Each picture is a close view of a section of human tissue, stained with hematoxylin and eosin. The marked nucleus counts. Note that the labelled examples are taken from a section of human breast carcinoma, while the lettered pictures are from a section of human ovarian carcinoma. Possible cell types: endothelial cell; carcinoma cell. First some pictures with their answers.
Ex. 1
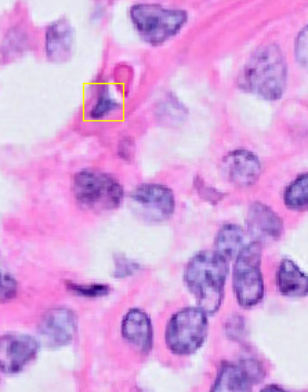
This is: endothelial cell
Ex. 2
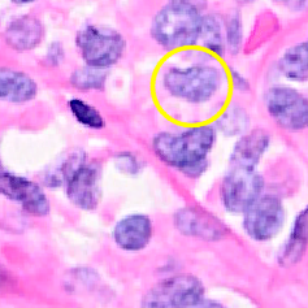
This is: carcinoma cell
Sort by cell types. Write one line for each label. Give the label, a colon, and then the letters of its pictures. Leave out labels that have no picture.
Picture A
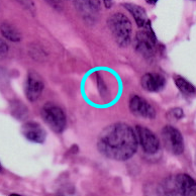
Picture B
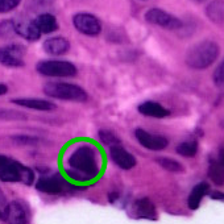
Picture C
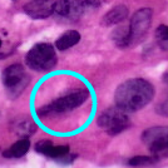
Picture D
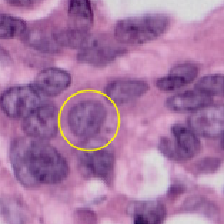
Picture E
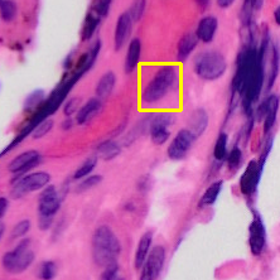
endothelial cell: A, C, E
carcinoma cell: B, D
